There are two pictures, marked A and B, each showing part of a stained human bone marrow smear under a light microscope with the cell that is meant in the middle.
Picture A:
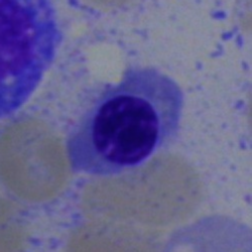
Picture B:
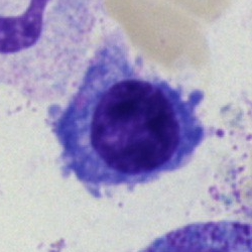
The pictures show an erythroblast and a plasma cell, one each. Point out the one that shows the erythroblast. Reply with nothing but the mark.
A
